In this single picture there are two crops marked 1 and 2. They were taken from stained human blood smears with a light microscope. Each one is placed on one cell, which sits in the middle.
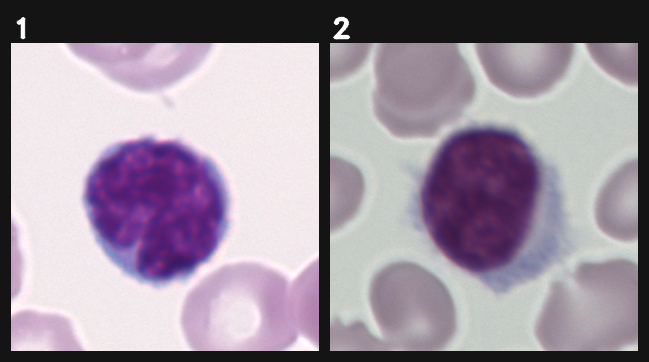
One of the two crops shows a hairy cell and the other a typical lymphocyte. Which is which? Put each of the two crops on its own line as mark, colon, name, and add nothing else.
1: typical lymphocyte
2: hairy cell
